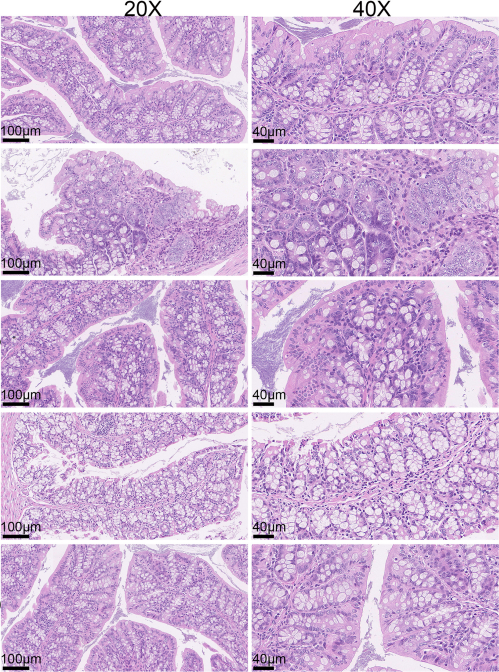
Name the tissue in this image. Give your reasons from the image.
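Mucosa made of straight tubular glands (crypts) without villi. The crypts are lined by epithelium rich in pale, clear-looking goblet-shaped cells. Thin strands of pink connective tissue separate the glands. That points to this answer: colon.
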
